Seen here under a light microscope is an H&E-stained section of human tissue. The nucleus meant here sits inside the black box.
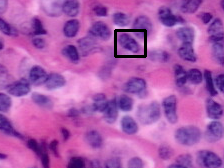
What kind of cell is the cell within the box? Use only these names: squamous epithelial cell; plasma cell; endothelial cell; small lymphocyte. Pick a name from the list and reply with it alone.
plasma cell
